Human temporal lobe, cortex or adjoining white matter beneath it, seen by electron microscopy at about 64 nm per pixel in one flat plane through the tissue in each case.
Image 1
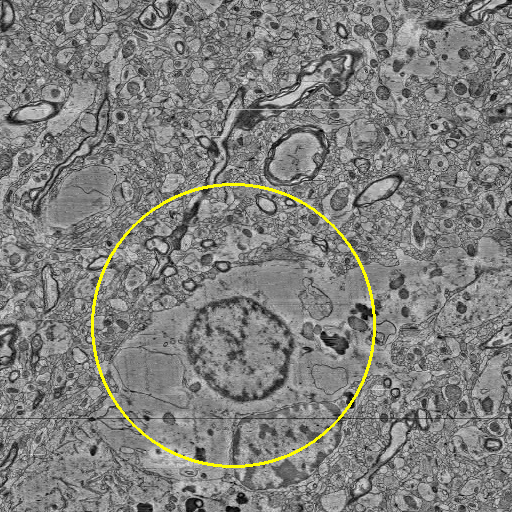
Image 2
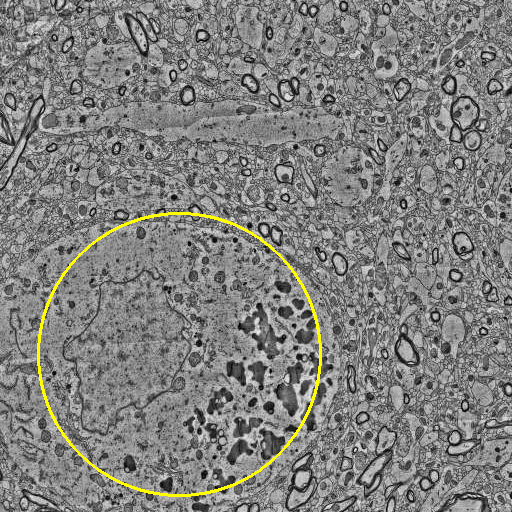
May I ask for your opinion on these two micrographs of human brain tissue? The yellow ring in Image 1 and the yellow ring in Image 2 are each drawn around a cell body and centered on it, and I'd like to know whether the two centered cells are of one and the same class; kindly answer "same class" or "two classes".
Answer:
two classes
